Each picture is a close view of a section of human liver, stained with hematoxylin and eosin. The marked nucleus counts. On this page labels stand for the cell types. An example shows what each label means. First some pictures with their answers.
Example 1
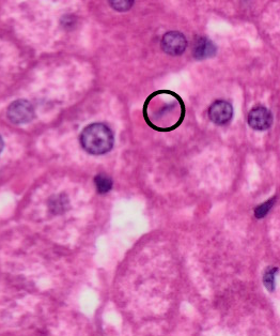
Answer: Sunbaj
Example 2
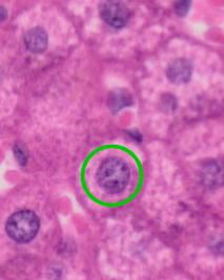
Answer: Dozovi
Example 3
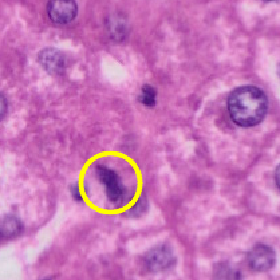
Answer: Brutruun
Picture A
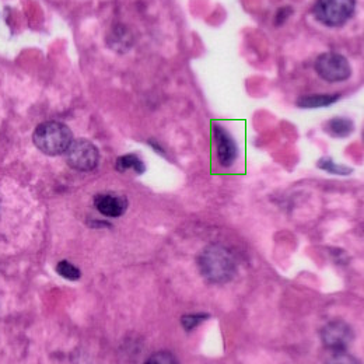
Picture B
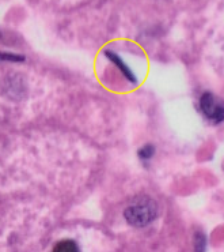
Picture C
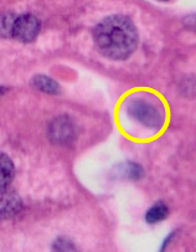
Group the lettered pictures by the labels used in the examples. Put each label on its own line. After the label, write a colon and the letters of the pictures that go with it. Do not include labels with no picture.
Sunbaj: B, C
Brutruun: A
